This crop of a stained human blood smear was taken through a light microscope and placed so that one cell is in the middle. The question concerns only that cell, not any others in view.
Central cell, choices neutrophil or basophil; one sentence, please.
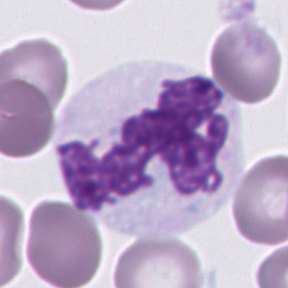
This crop's central cell is a neutrophil.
